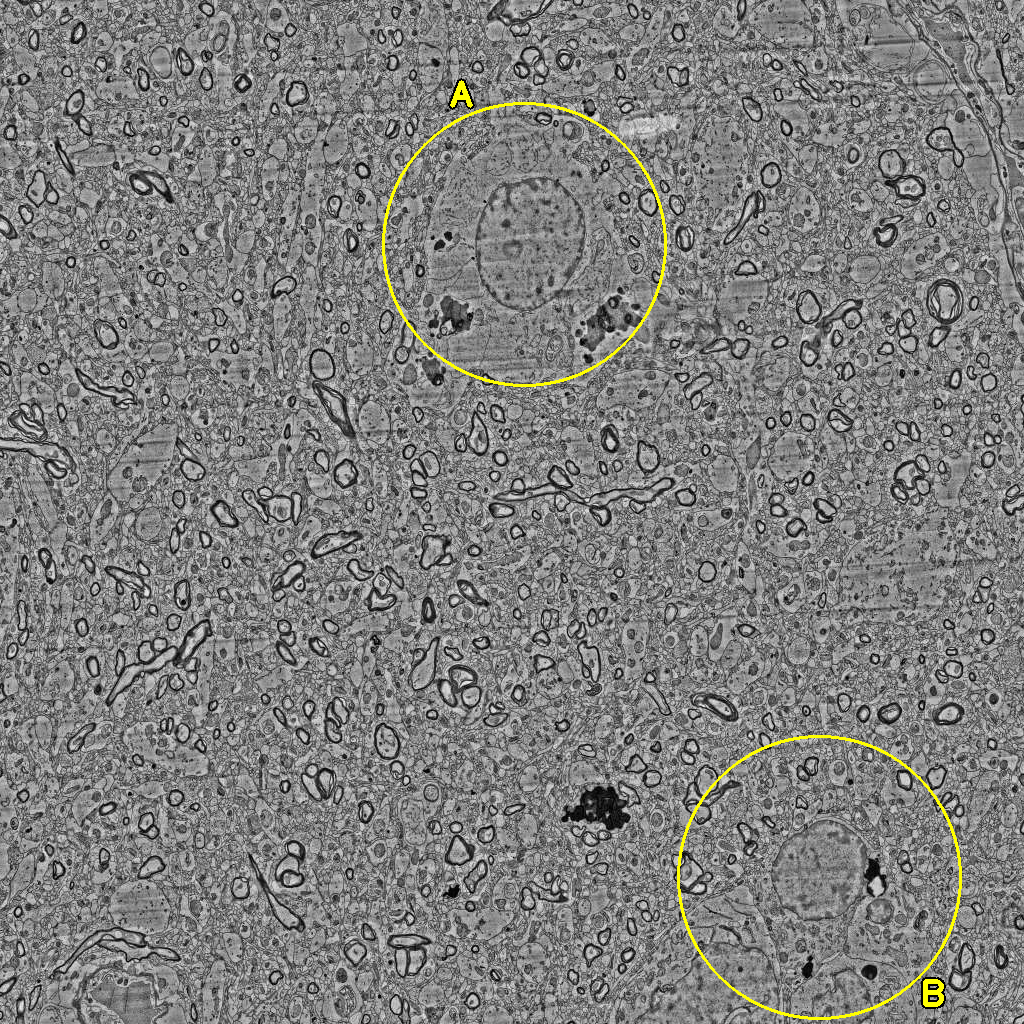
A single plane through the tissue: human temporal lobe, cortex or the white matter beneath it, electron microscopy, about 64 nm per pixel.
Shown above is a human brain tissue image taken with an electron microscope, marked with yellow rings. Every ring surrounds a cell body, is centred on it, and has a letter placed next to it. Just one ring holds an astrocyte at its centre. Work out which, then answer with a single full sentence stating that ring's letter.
Ring A is the one whose centre holds a cell of that kind.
